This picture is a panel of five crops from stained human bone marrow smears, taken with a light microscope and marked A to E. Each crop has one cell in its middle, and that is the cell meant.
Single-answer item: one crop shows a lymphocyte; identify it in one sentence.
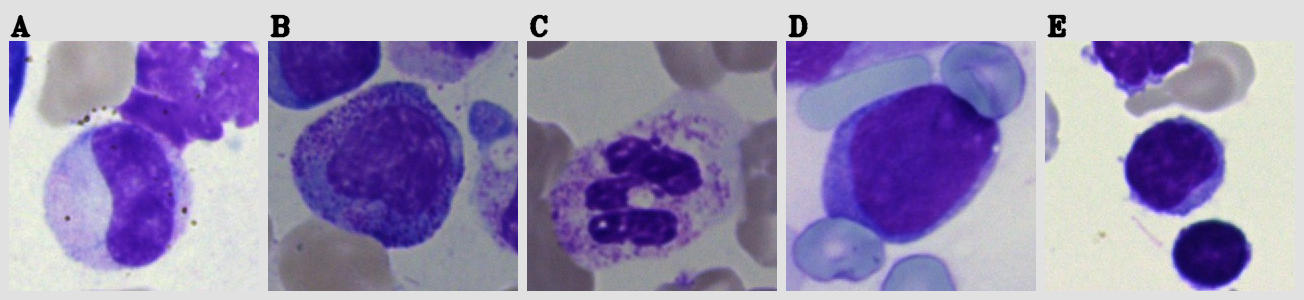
Crop E is the crop containing a lymphocyte.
